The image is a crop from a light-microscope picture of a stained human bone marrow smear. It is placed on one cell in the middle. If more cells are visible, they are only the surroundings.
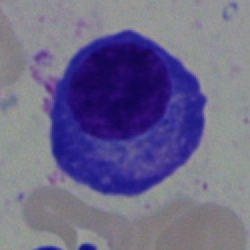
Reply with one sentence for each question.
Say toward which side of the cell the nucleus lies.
The nucleus lies toward the top of the cell.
